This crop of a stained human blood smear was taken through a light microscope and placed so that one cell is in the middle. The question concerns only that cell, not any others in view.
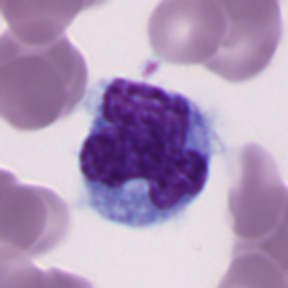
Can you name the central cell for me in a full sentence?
In this crop, the cell at the very middle is a monocyte.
